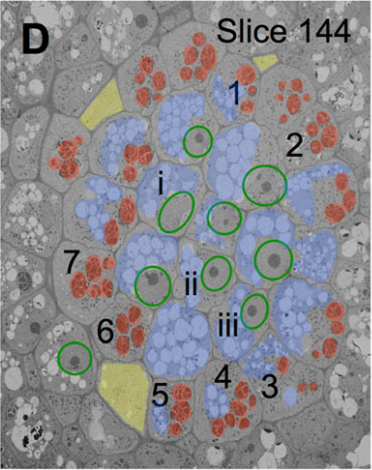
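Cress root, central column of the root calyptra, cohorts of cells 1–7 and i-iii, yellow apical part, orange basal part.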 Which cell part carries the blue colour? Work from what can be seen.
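Vacuoles. Blue-coloured rounded compartments fill much of the central cells.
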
